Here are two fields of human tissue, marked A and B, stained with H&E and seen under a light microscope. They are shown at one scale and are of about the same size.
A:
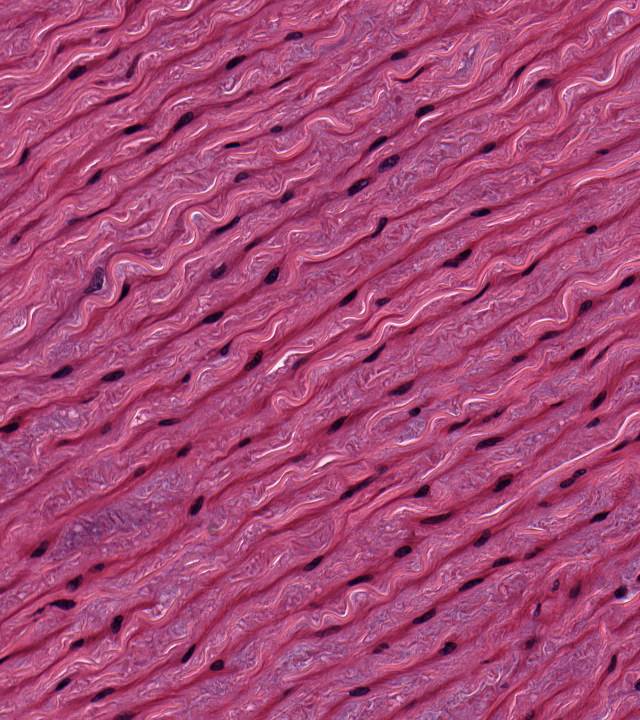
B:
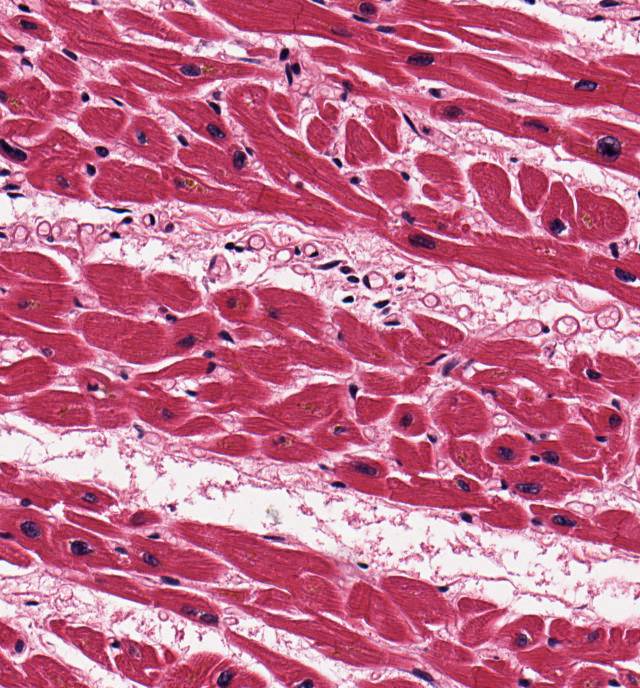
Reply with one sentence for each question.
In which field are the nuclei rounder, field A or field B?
The nuclei are rounder in field B.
